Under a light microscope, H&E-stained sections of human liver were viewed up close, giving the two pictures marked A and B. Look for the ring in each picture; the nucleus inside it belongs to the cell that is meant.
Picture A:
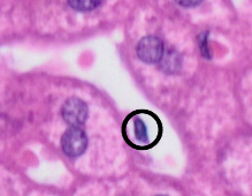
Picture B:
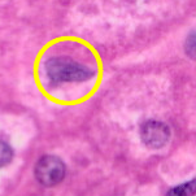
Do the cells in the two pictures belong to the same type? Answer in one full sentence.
No; the cell in picture A is a lymphocyte, while the one in picture B is a Kupffer cell.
